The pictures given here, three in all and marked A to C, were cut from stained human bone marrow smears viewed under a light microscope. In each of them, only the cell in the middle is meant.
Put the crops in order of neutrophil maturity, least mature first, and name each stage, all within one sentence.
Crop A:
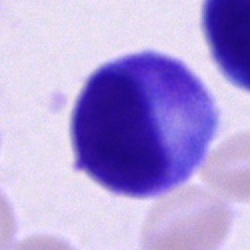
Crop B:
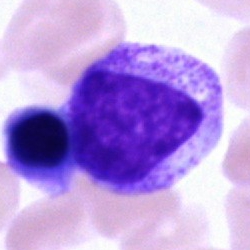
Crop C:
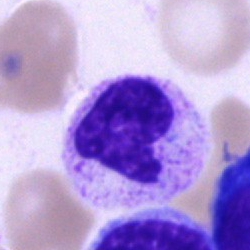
Taken from least to most mature, the sequence is crop A (a promyelocyte), crop B (a myelocyte) and crop C (a segmented neutrophil).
